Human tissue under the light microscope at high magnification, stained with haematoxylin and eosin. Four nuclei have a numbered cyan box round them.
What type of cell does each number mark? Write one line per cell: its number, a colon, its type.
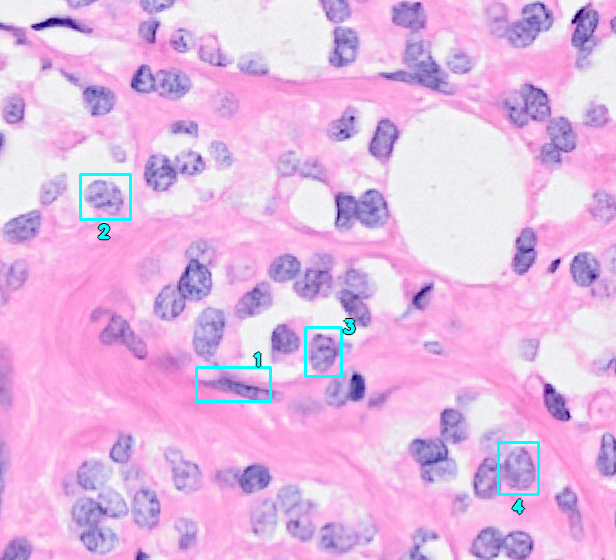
1: endothelial cell
2: carcinoma cell
3: carcinoma cell
4: carcinoma cell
